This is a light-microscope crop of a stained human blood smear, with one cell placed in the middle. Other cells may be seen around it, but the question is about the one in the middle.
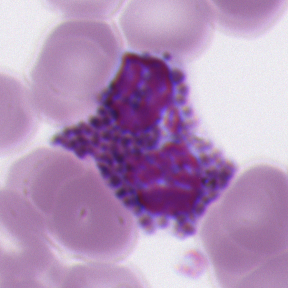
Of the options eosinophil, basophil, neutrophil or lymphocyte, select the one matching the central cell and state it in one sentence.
Here the centrally located cell is an eosinophil.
